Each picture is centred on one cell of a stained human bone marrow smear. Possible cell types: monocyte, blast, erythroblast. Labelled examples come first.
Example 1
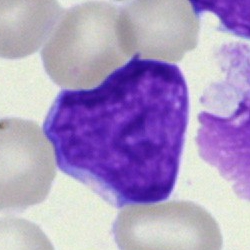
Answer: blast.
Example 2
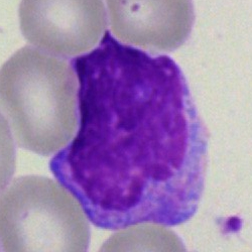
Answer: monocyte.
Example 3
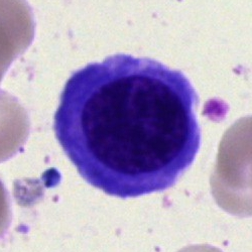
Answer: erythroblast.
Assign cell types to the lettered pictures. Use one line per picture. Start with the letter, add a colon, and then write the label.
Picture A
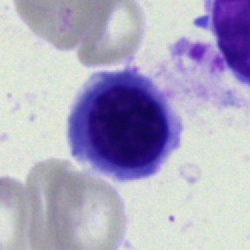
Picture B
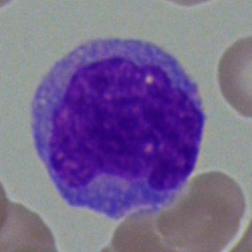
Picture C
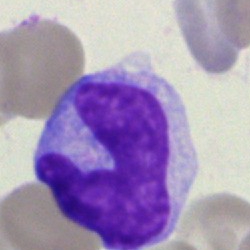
A: erythroblast.
B: monocyte.
C: monocyte.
